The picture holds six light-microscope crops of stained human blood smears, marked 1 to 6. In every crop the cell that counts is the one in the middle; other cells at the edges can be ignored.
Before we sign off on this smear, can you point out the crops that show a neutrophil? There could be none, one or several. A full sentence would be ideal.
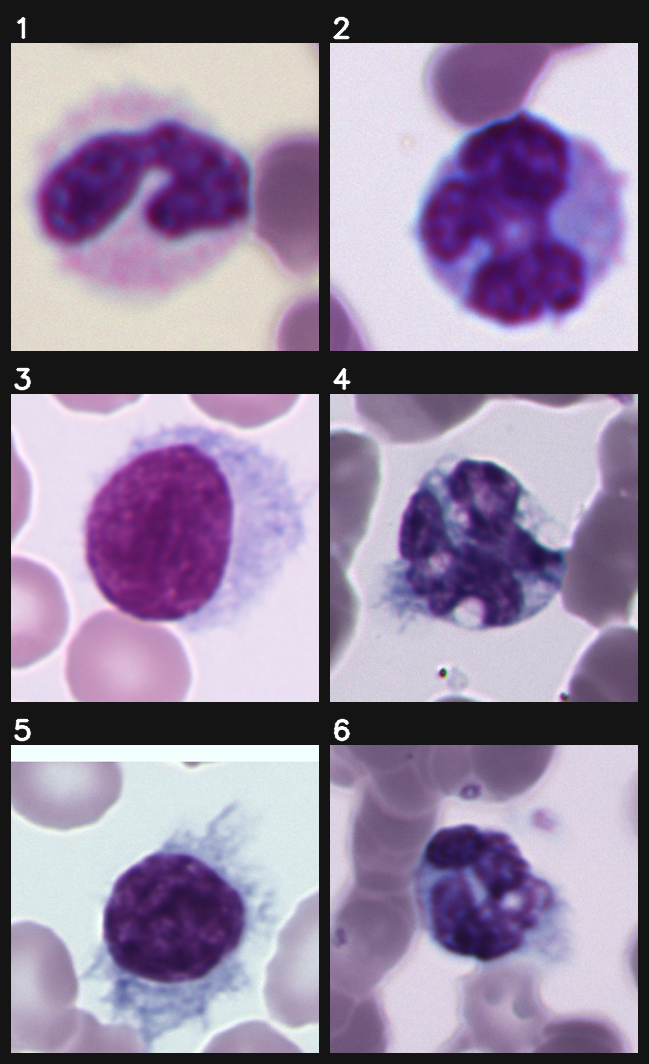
Of all the crops, a neutrophil is found in crop 1 alone.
